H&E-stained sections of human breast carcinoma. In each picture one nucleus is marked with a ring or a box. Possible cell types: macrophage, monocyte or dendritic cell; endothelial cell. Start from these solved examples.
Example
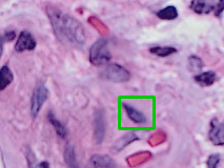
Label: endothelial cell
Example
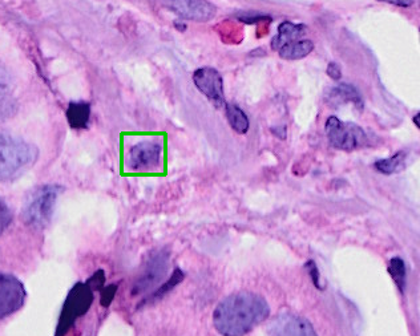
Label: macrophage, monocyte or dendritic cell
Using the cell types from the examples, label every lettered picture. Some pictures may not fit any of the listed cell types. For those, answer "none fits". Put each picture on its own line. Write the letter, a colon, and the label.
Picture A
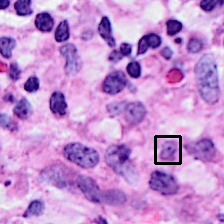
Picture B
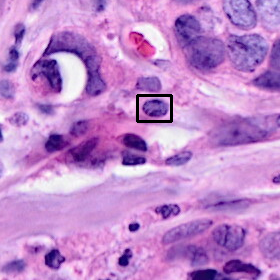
A: macrophage, monocyte or dendritic cell
B: none fits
